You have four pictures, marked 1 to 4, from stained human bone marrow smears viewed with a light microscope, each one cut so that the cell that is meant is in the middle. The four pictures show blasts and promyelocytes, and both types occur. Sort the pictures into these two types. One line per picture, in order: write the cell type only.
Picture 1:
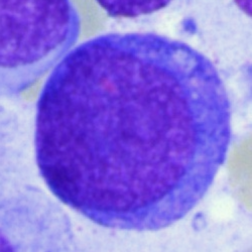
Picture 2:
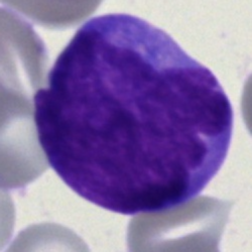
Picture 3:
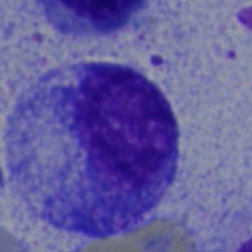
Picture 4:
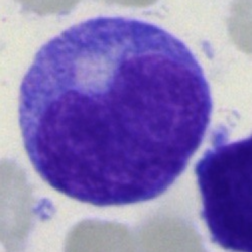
blast
blast
promyelocyte
blast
